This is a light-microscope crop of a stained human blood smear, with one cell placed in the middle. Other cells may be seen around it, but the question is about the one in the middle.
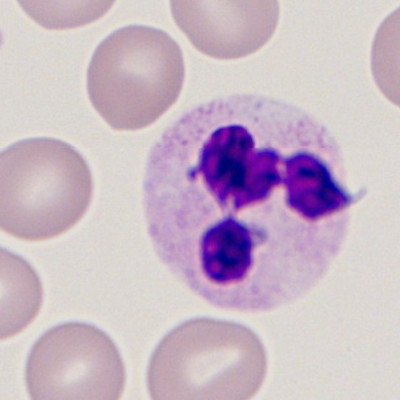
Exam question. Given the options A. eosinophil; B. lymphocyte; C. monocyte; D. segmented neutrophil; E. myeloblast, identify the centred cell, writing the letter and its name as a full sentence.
The correct option is D, as the central cell is a segmented neutrophil.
